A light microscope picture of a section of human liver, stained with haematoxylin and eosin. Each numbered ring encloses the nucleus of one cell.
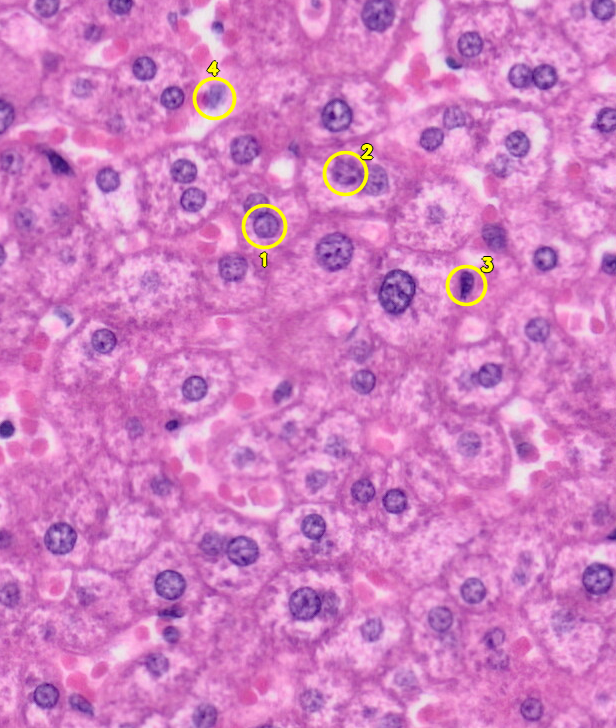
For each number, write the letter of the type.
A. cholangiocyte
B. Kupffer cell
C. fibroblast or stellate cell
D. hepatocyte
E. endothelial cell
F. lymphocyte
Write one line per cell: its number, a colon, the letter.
1: D
2: D
3: C
4: E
